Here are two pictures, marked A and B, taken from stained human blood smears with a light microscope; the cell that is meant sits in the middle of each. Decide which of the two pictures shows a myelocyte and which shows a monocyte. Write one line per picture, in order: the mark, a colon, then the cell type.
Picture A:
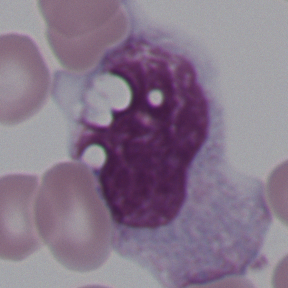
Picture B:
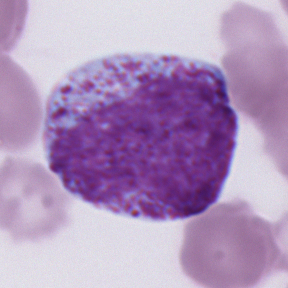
A: monocyte
B: myelocyte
